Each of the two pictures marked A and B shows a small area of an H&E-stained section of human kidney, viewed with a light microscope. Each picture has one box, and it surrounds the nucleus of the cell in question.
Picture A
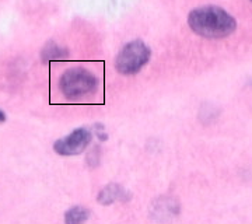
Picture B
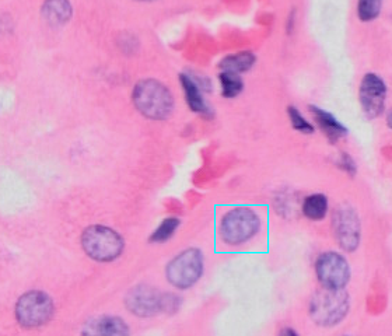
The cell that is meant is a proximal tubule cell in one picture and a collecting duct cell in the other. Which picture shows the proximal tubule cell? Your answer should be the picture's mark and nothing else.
A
